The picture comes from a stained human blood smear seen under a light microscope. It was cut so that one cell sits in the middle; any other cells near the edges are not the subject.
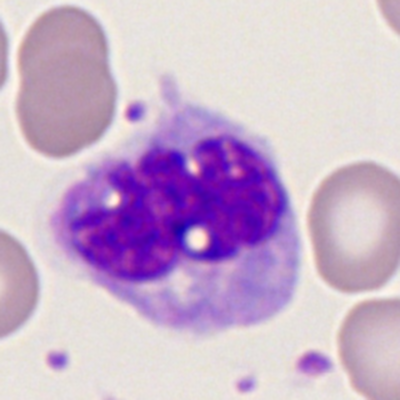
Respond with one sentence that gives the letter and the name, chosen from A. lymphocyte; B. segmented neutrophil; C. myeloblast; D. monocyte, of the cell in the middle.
The central cell is a monocyte, which makes option D the right answer.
